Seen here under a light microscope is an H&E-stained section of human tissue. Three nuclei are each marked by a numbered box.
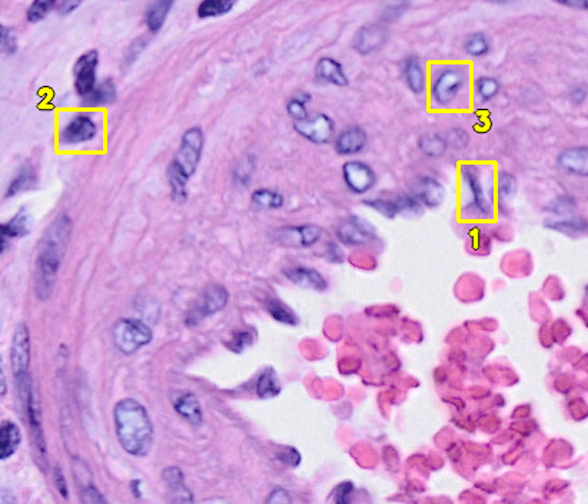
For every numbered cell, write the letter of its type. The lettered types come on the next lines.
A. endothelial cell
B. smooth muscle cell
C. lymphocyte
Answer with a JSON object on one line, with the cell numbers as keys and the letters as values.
{"1": "A", "2": "C", "3": "B"}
